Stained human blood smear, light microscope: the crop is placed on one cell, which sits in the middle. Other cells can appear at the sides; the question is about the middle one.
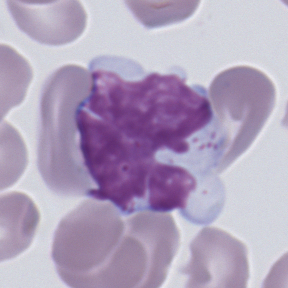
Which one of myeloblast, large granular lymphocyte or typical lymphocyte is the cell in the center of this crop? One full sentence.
In the centre of this crop there is a large granular lymphocyte.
